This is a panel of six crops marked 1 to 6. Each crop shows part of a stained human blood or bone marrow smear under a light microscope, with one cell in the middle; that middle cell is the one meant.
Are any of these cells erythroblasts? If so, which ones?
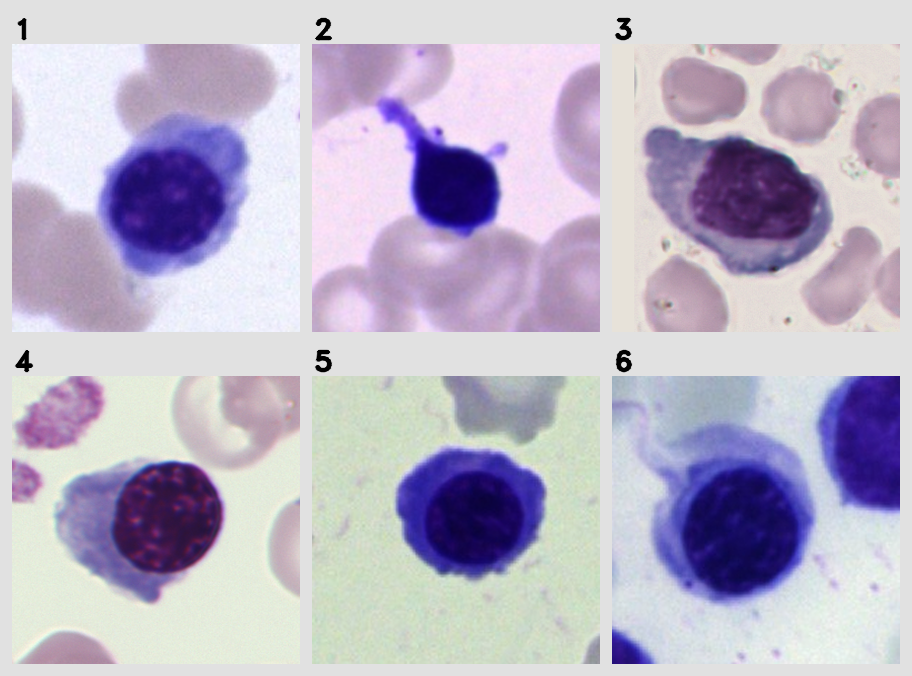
1, 4, 5, 6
